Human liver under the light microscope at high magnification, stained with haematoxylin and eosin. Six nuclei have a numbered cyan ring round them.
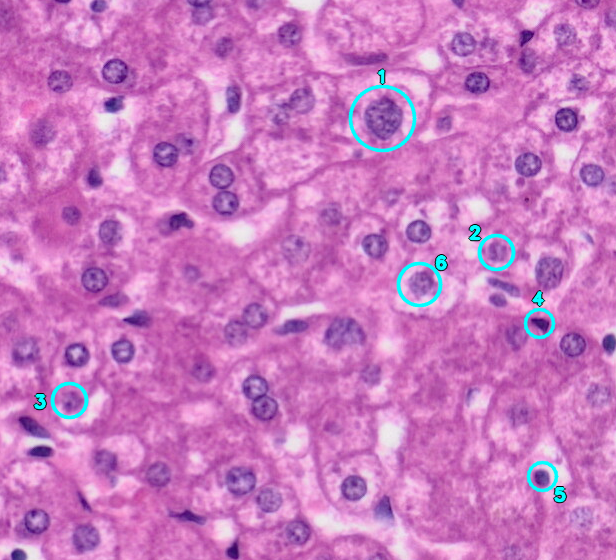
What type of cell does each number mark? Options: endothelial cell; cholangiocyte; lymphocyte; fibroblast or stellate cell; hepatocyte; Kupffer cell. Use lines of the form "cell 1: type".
cell 1: hepatocyte
cell 2: hepatocyte
cell 3: hepatocyte
cell 4: fibroblast or stellate cell
cell 5: lymphocyte
cell 6: hepatocyte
